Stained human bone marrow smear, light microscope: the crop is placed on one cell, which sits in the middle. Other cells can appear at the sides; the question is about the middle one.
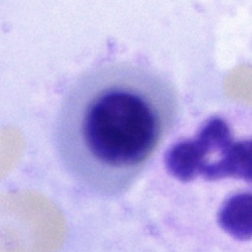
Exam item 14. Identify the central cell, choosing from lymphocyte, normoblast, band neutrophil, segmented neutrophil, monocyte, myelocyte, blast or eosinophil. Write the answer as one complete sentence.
The cell under consideration, at the middle of the crop, is a normoblast.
